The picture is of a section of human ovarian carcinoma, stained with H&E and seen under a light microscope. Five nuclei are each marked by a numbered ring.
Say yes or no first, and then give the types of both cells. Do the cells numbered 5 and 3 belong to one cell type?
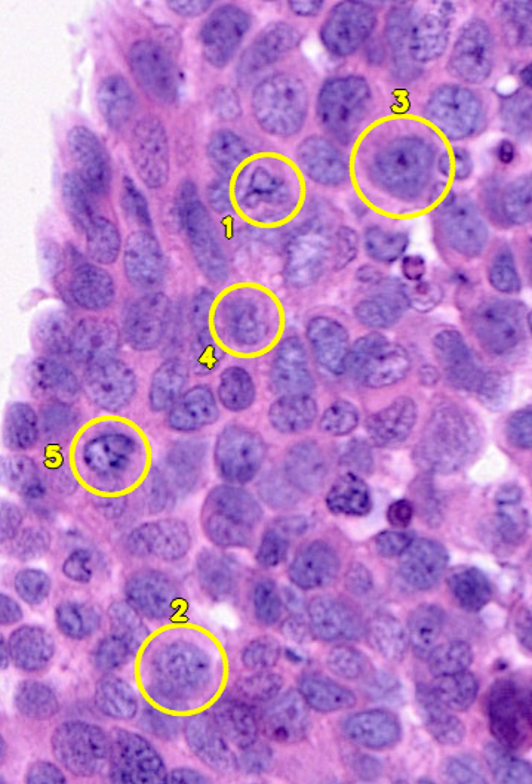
No, the cell at number 5 is a macrophage or monocyte, and the cell at number 3 is a carcinoma cell.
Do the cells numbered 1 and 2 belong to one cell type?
No, as to type, cell 1 is a macrophage or monocyte, and cell 2 is a carcinoma cell.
